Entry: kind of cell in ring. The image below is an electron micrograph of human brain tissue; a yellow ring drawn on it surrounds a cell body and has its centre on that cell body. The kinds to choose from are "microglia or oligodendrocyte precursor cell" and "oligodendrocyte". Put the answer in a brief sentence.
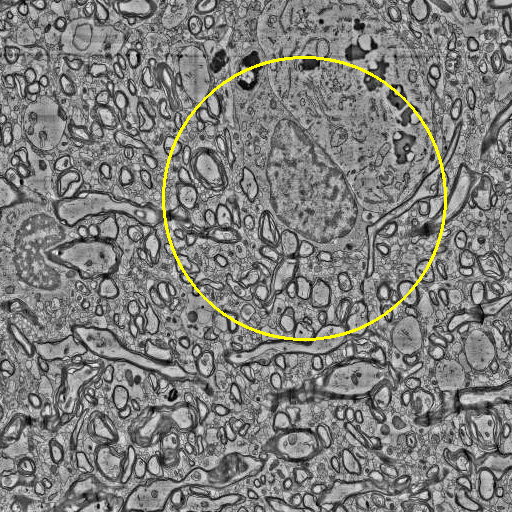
The ring has been drawn around an oligodendrocyte.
